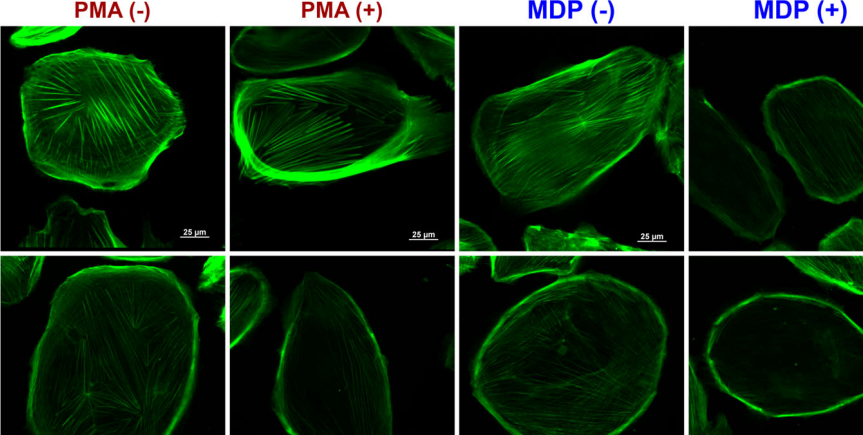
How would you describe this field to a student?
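In some cells long straight filaments run in parallel bundles across the whole cell body, sometimes radiating from points near the middle. Neighbouring cells are cut off at the image margins.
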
